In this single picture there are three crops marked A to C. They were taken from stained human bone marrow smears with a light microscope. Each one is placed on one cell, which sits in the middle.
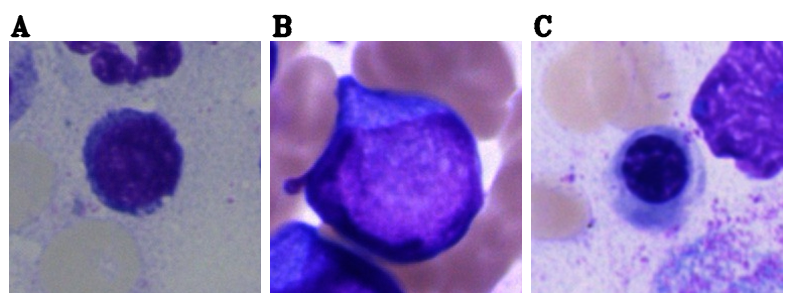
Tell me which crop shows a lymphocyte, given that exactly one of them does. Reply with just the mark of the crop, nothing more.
A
